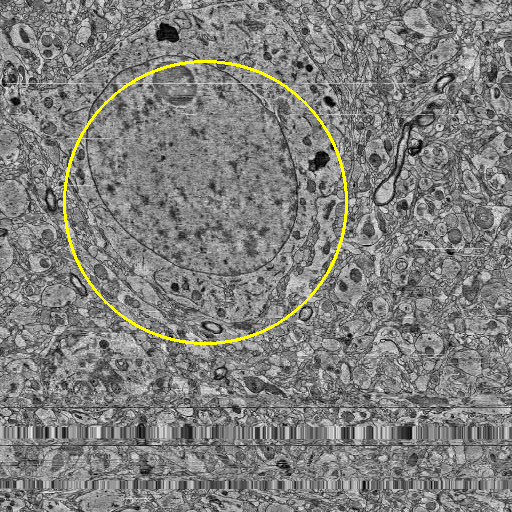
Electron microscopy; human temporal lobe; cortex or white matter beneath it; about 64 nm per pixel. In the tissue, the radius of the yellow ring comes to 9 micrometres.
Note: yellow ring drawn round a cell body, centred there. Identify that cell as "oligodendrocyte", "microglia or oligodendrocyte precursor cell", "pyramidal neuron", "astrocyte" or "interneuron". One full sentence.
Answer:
The cell in the middle of the ring is a pyramidal neuron.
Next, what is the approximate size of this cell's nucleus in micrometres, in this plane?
About 16 micrometres by about 12 micrometres in this plane.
